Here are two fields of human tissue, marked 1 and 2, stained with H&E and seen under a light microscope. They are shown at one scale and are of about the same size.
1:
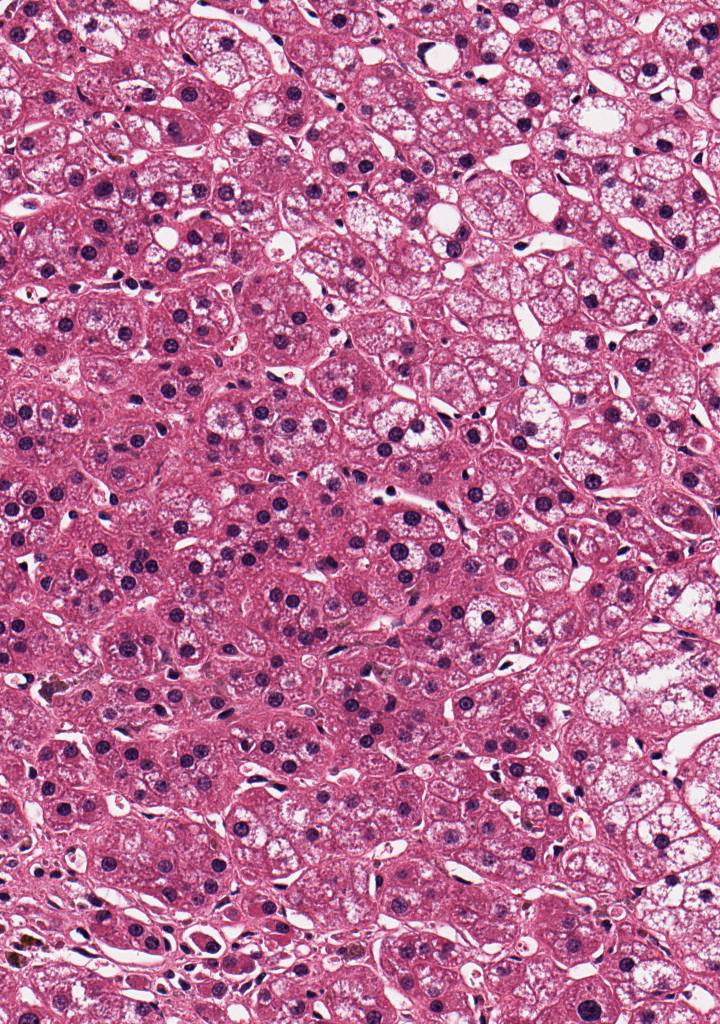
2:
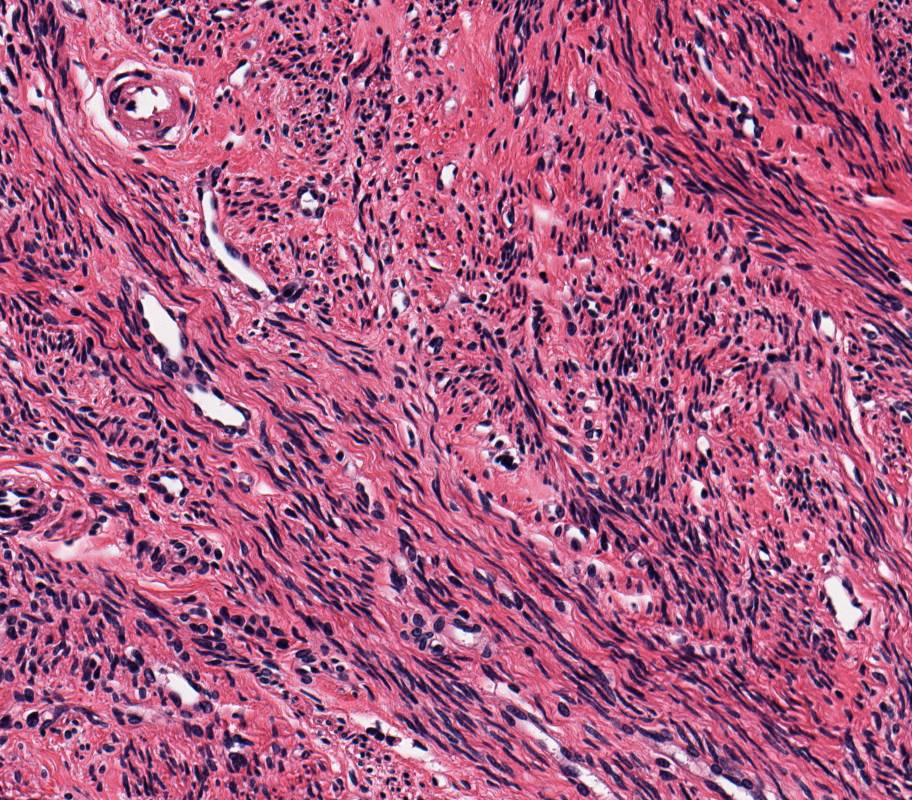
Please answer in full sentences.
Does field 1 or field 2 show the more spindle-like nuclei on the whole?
Longer, more slender nuclei lie in field 2.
